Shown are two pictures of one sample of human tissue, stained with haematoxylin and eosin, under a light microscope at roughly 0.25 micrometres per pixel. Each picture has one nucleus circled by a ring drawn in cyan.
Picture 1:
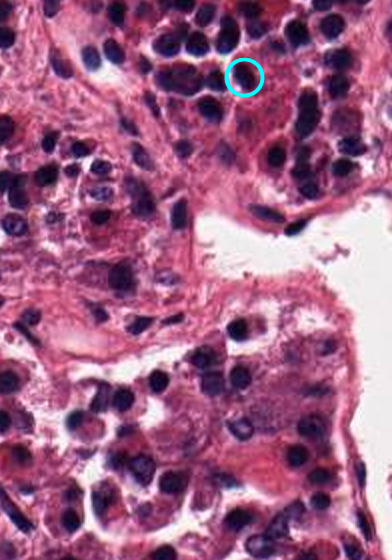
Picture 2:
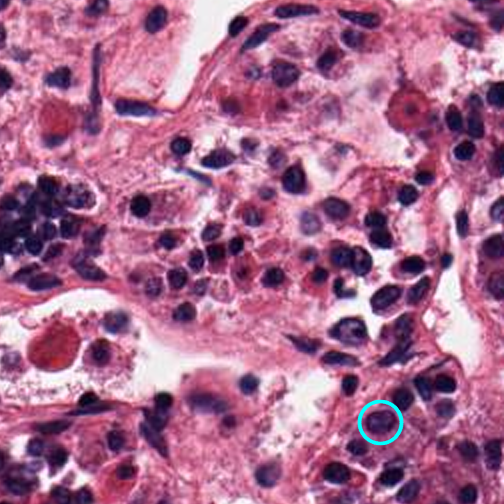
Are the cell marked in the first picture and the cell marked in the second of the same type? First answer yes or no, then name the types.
Yes, both are anterior pituitary cells.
